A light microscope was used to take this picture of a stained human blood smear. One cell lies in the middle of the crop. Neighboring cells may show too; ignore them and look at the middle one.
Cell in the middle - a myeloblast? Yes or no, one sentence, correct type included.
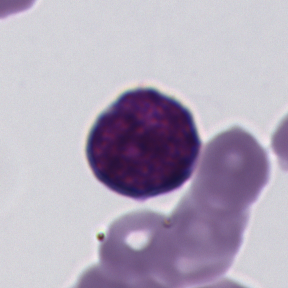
Yes, what sits in the middle of the crop is a myeloblast.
